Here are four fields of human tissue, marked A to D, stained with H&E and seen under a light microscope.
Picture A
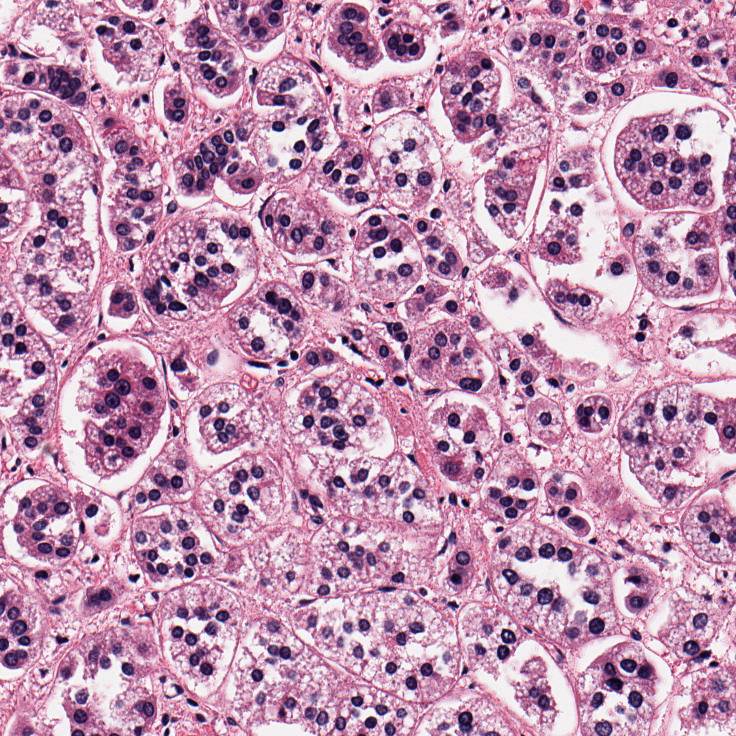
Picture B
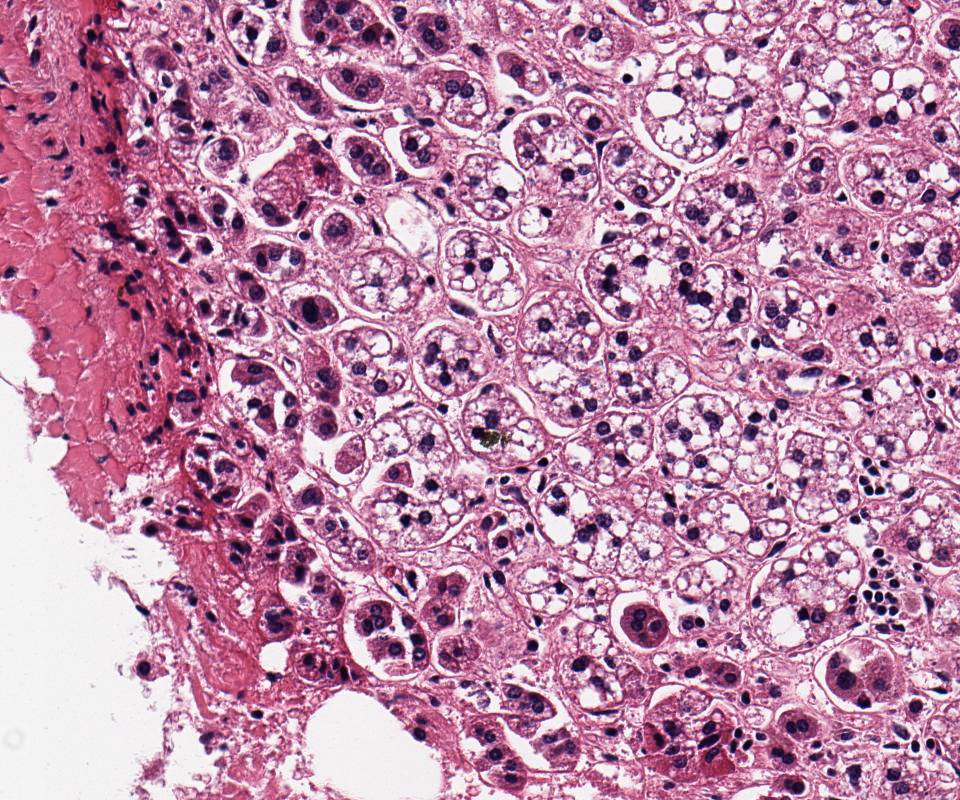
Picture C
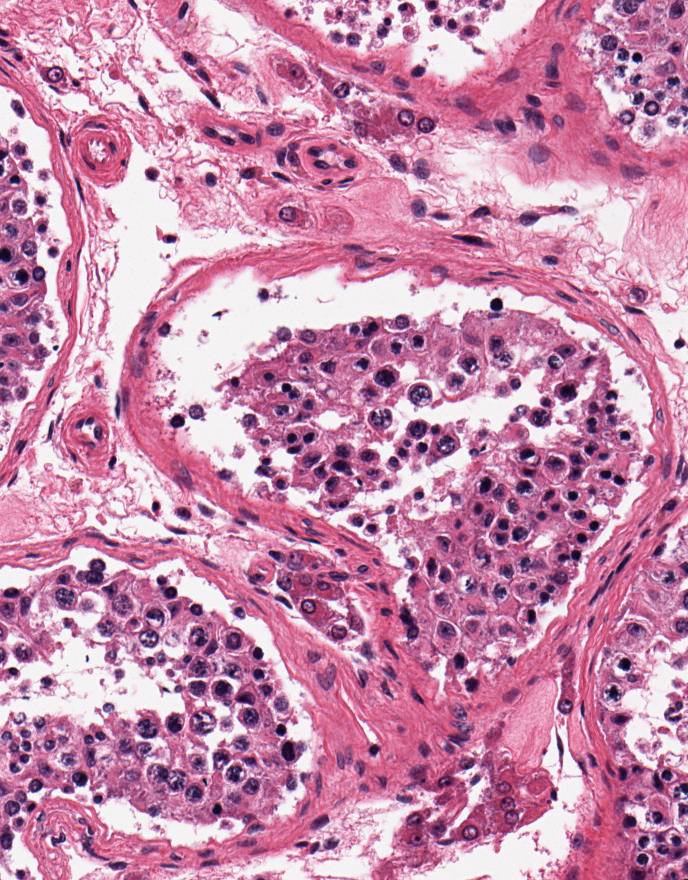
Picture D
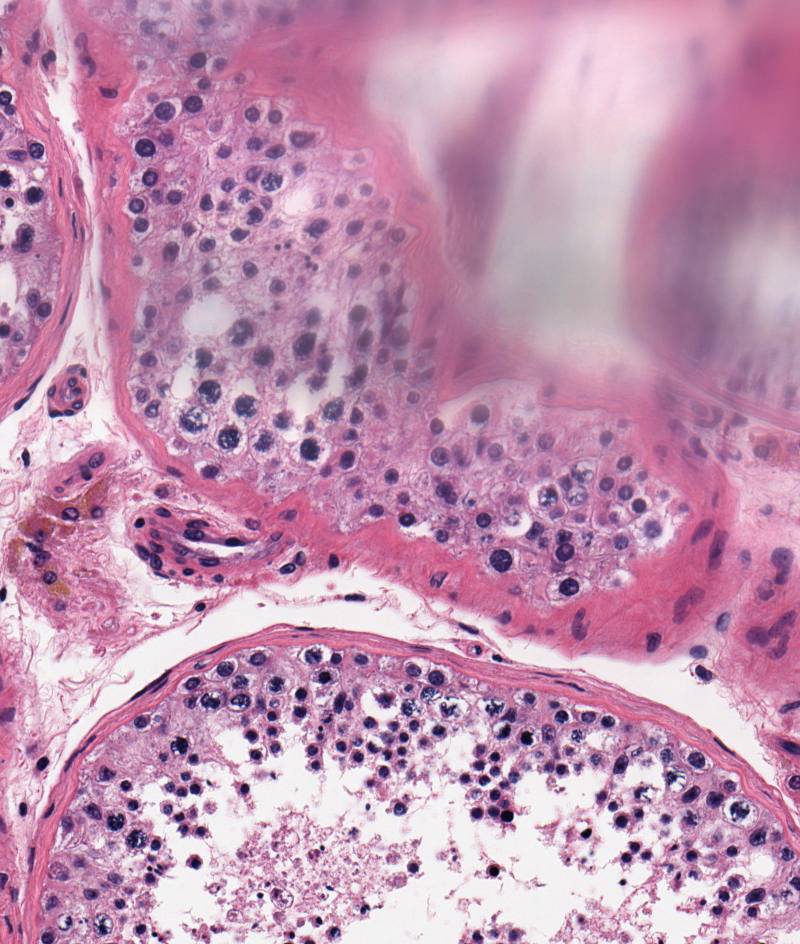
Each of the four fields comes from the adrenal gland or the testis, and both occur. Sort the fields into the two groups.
A: adrenal gland
B: adrenal gland
C: testis
D: testis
